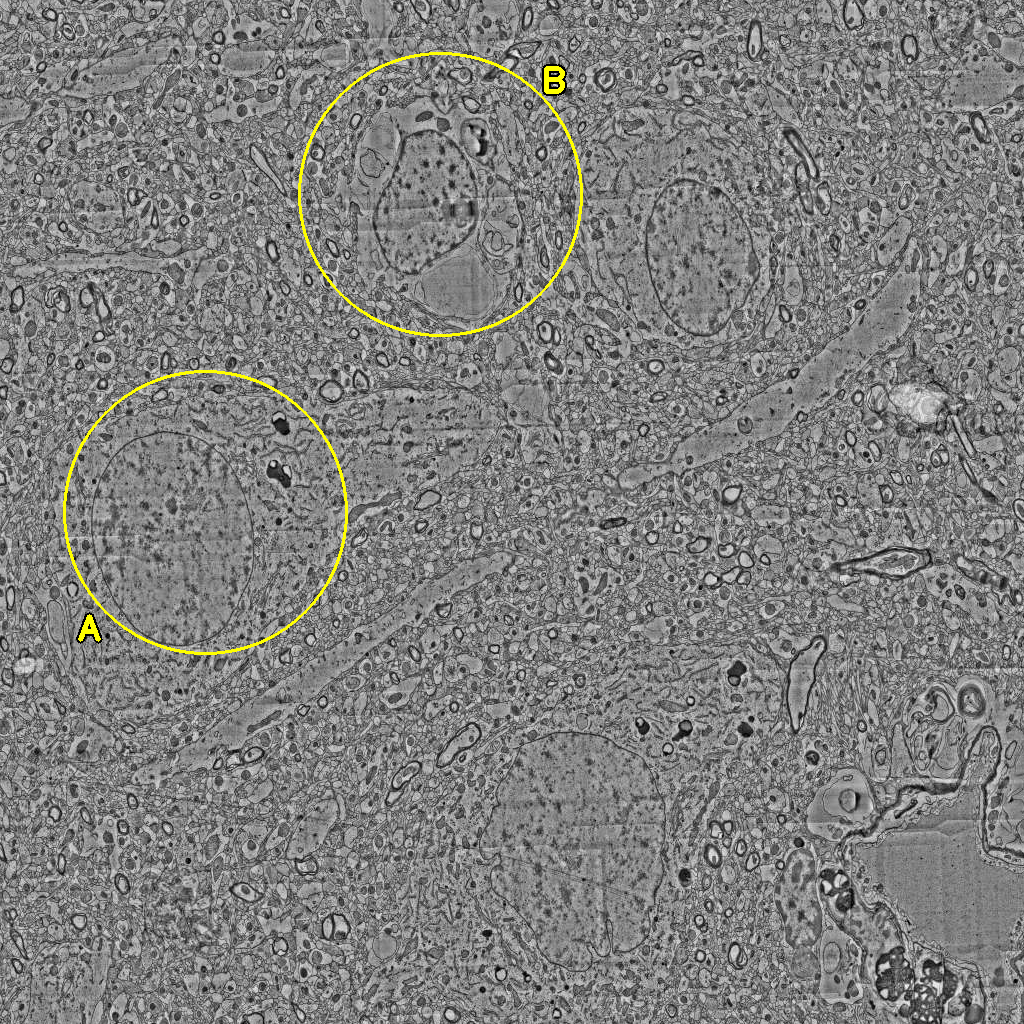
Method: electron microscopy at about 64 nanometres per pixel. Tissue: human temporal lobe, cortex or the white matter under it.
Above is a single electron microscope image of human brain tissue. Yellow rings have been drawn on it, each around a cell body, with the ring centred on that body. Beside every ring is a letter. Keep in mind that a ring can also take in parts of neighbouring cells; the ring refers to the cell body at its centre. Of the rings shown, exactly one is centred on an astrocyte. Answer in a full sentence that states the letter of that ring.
The cell at the centre of ring B is the one asked for.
